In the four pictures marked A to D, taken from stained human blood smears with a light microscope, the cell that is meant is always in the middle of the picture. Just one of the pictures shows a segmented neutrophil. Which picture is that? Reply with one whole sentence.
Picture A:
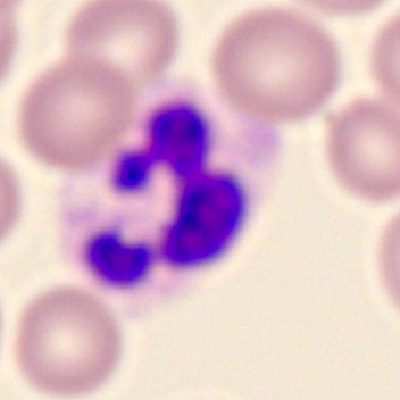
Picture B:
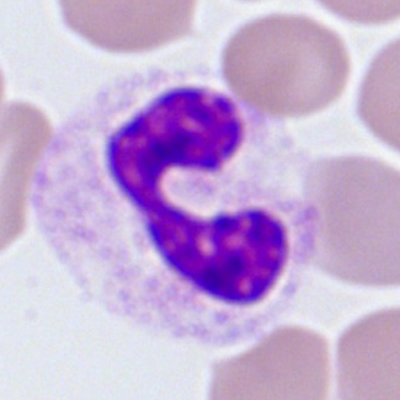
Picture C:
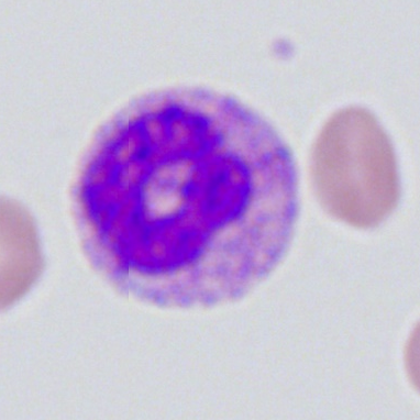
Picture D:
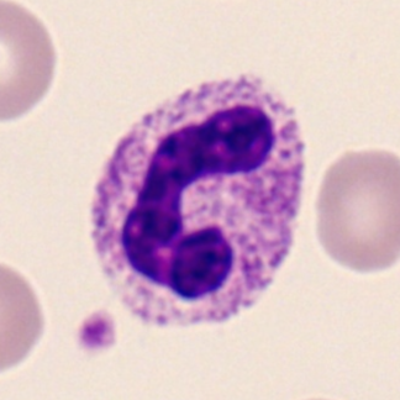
The picture with the segmented neutrophil is A.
